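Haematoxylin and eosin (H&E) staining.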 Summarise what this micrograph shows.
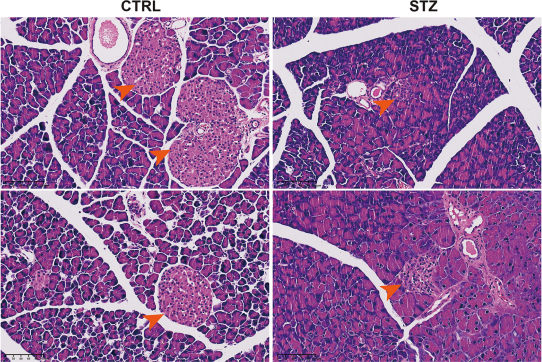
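Four fields of pancreas stained pink and purple show mostly exocrine tissue. It is made of densely packed acini whose cells have purple-staining cytoplasm, divided into lobules by clear, pale spaces. Scattered among the acini are rounded, paler pink clusters of cells with small nuclei and lighter cytoplasm, marked by orange arrowheads; these are the pancreatic islets. In the left-hand fields the islets are large and rounded. In the right-hand fields they are small and irregular, found only as little clusters beside ducts and vessels.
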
